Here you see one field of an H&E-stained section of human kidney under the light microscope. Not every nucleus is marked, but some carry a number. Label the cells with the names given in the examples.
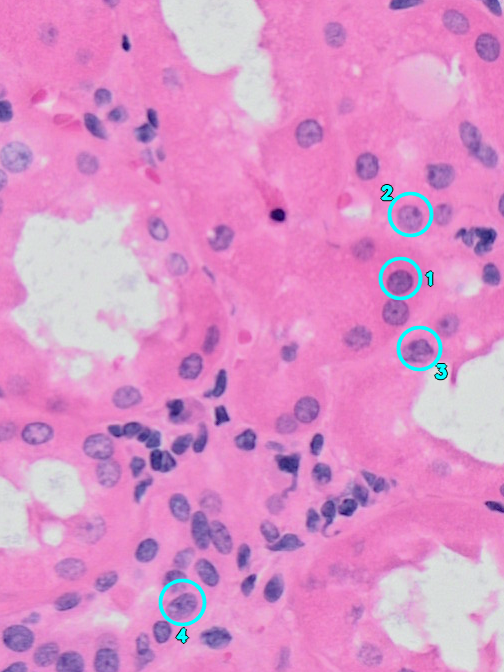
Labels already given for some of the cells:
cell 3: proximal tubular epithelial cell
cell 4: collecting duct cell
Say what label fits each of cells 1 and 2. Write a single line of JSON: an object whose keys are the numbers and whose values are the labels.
{"1": "proximal tubular epithelial cell", "2": "proximal tubular epithelial cell"}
